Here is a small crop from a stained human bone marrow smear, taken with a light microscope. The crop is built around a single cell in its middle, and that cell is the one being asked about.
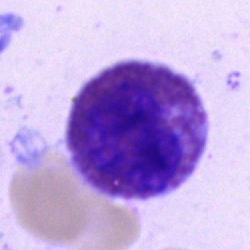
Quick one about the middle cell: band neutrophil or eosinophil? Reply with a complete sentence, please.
The middle cell in this particular crop is an eosinophil.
